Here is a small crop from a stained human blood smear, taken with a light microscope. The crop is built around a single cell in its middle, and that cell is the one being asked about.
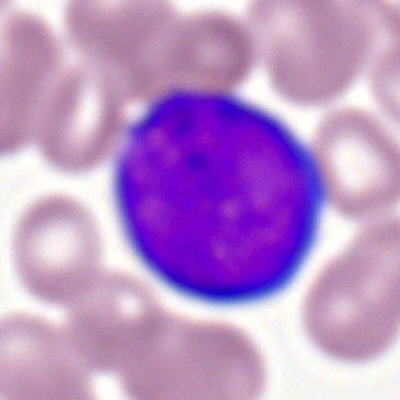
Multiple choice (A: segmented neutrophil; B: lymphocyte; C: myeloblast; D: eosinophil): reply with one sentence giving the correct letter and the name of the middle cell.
The middle cell of the crop is a myeloblast; accordingly, option C is correct.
